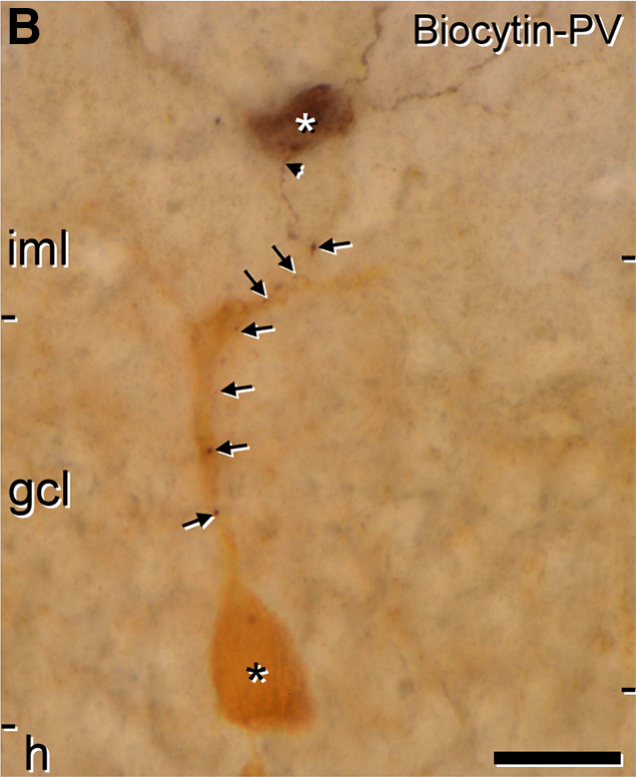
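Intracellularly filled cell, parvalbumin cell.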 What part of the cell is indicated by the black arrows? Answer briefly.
Axonal varicosities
